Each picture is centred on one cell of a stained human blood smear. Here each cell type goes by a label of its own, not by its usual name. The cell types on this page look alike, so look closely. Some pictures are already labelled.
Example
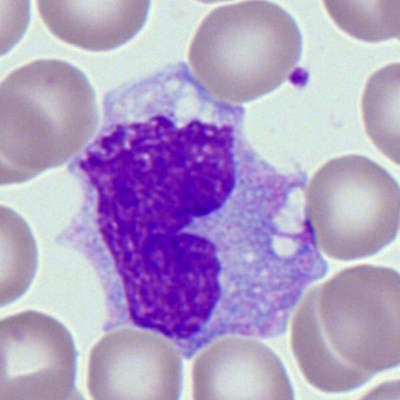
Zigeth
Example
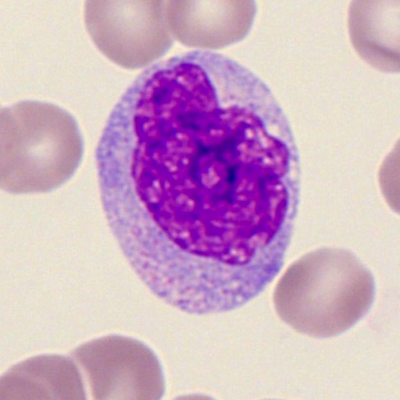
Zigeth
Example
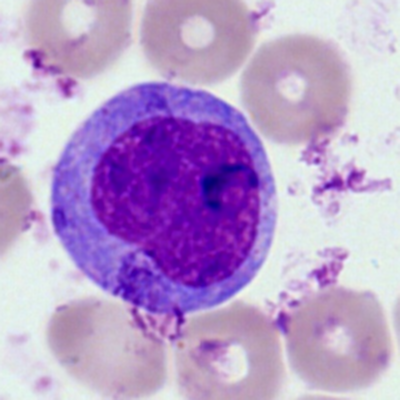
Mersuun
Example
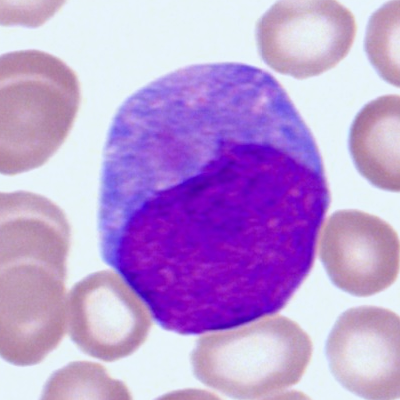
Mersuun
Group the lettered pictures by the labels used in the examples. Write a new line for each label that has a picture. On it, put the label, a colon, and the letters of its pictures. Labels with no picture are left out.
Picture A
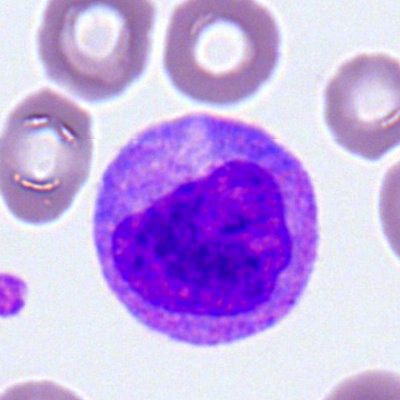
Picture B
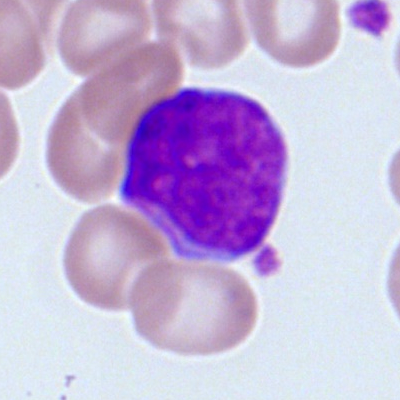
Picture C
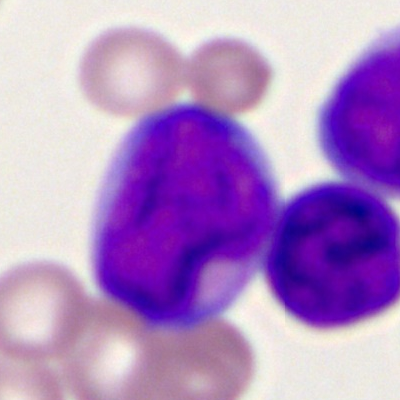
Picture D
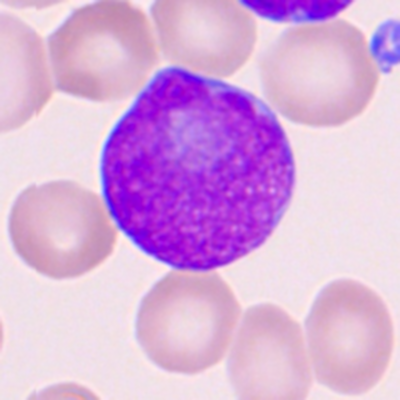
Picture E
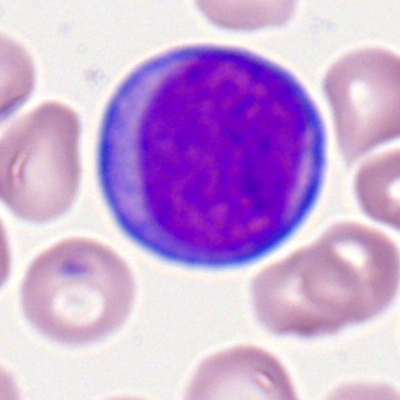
Zigeth: A
Mersuun: B, C, D, E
